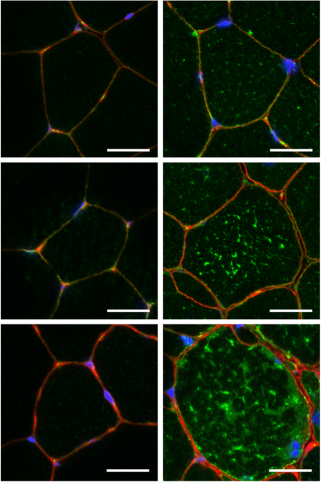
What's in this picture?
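Skeletal muscle fibers in cross-section, each polygonal fiber outlined by a red rim, with small blue nuclei sitting at the fiber edges. In the left column the fiber interiors stay dark. In the right column green puncta appear inside the fibers and become denser and coarser from the top row to the bottom row, where irregular green aggregates fill much of a fiber.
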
